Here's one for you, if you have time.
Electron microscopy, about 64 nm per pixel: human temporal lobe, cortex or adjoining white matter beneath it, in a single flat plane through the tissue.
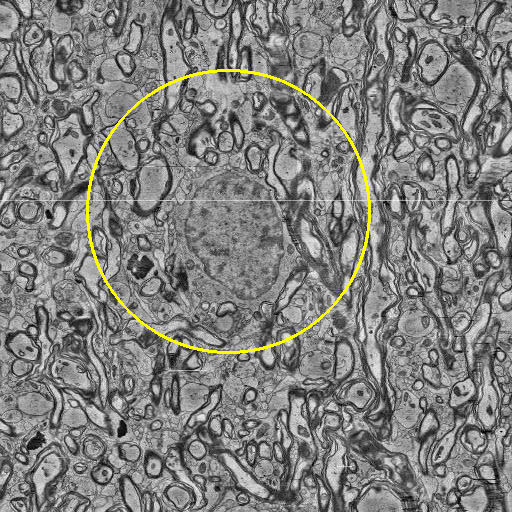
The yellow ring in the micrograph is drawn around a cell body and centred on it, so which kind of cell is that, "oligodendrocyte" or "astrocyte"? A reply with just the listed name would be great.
oligodendrocyte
